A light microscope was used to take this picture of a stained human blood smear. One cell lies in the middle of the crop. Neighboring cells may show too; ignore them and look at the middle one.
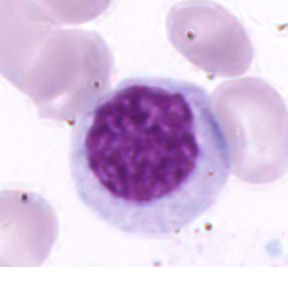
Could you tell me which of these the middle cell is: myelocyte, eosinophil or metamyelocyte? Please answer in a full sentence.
The identification for the central cell is a myelocyte.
